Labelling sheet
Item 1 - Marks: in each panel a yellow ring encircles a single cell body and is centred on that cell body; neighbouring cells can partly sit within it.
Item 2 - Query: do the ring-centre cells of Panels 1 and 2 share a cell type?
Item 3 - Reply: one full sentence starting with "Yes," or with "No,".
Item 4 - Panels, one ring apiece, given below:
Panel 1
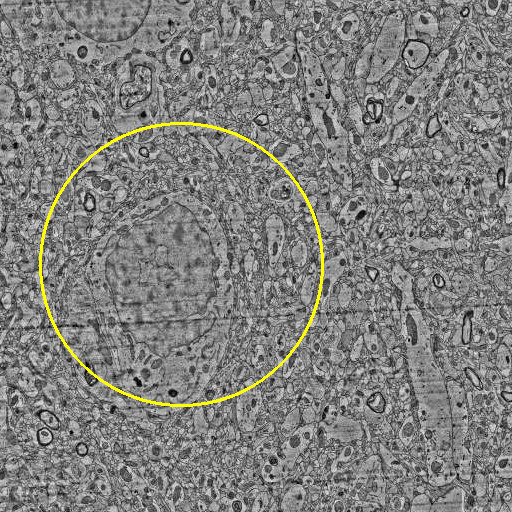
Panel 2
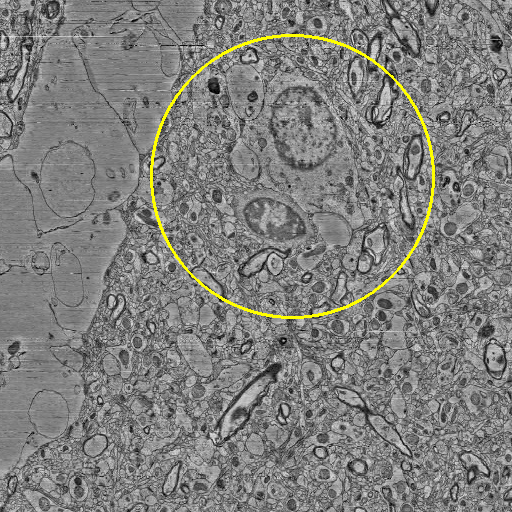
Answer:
Yes, Panel 1 and Panel 2 show one cell type at the centres of their rings.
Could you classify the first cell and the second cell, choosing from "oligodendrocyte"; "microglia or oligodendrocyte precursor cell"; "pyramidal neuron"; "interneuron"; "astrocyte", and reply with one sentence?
In both pictures the ring is centred on an interneuron.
